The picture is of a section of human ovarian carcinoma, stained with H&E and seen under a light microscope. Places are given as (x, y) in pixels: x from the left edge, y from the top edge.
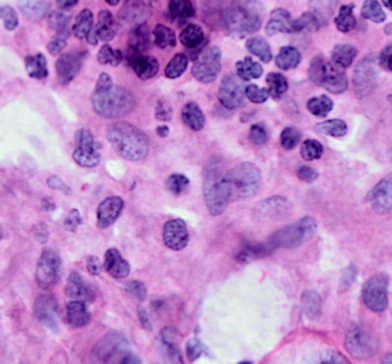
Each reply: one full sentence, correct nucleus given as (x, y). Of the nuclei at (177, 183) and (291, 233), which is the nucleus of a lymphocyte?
It is the nucleus at (177, 183), not the other one, that belongs to a lymphocyte.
